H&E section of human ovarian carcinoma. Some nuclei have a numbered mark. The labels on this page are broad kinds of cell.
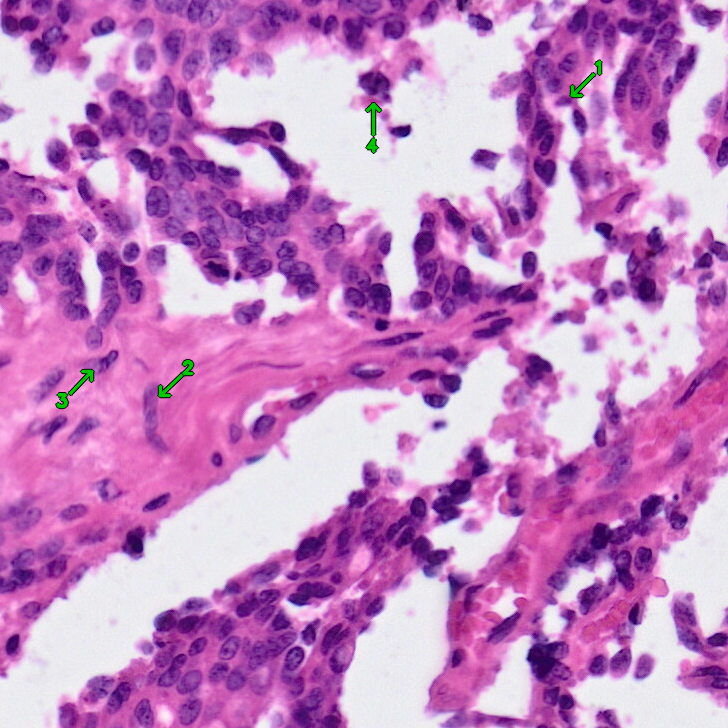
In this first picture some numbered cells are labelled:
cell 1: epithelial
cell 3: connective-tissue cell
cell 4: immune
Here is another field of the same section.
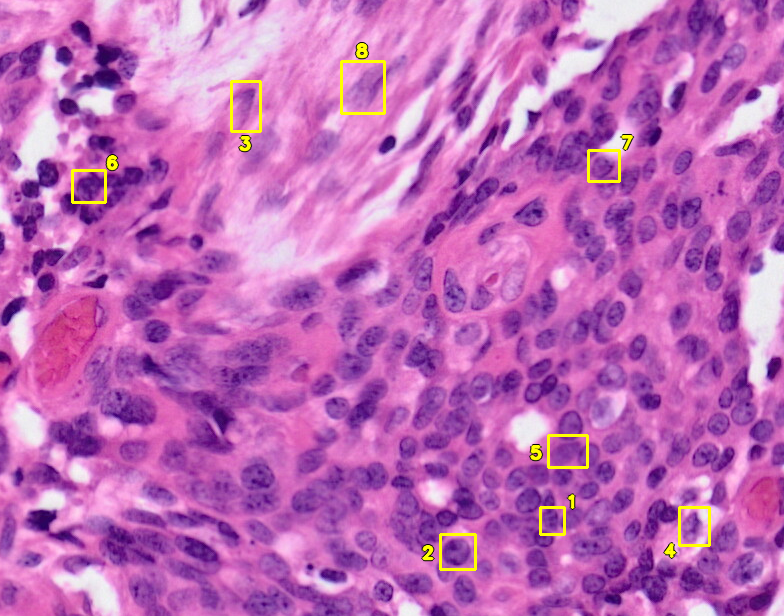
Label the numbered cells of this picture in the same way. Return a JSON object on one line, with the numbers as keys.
{"1": "epithelial", "2": "epithelial", "3": "connective-tissue cell", "4": "immune", "5": "epithelial", "6": "epithelial", "7": "epithelial", "8": "connective-tissue cell"}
